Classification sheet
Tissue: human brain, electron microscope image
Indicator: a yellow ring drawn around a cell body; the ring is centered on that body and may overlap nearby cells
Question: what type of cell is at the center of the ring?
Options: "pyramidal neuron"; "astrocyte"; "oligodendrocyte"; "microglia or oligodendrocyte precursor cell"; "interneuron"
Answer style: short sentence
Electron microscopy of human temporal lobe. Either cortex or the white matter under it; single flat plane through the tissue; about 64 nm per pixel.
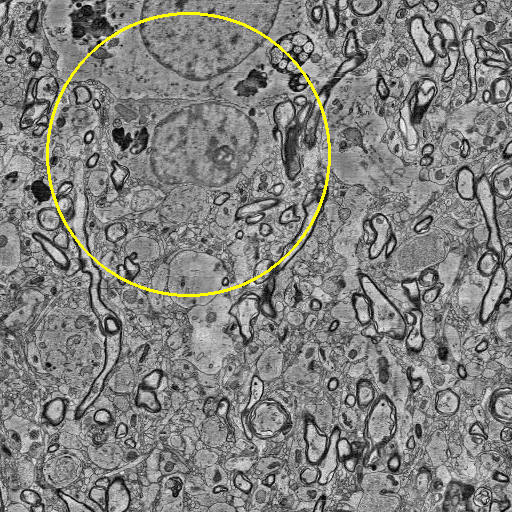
At the ring's center is an oligodendrocyte.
